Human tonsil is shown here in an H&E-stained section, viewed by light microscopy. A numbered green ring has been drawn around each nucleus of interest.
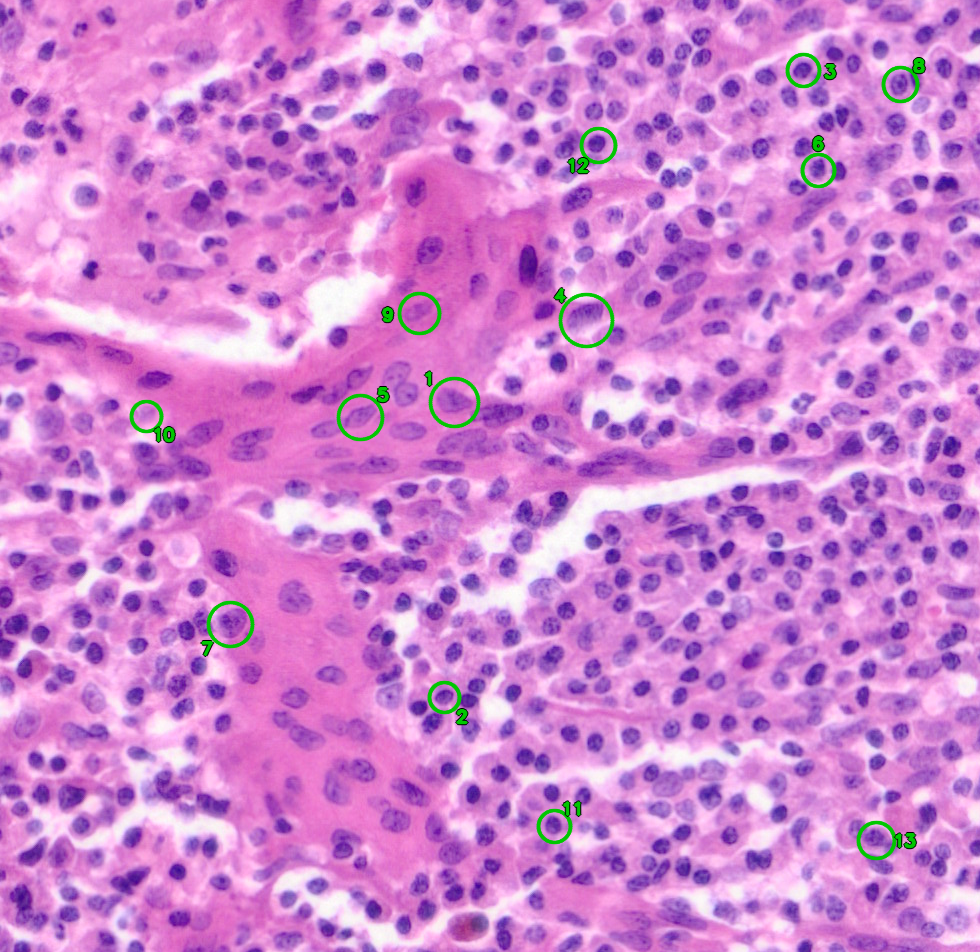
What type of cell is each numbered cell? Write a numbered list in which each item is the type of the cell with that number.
1. squamous epithelial cell
2. plasma cell
3. plasma cell
4. squamous epithelial cell
5. squamous epithelial cell
6. plasma cell
7. squamous epithelial cell
8. plasma cell
9. squamous epithelial cell
10. squamous epithelial cell
11. plasma cell
12. plasma cell
13. plasma cell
